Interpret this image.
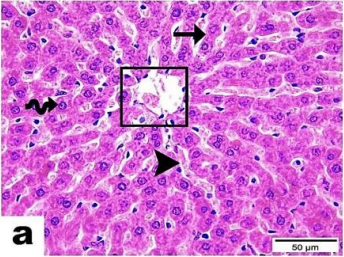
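Liver parenchyma around a central vein, with hepatocytes in orderly cords radiating from the vein. Hepatocytes are large and polygonal, with pink granular cytoplasm and round, centrally placed, pale vesicular nuclei, each with a visible nucleolus; some cells have two nuclei. Narrow pale sinusoids run between the cords, lined by flattened dark nuclei. The central vein has a thin wall and an empty lumen. The plates are regular and evenly spaced, with no vacuolation, congestion or clusters of small dark cells.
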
